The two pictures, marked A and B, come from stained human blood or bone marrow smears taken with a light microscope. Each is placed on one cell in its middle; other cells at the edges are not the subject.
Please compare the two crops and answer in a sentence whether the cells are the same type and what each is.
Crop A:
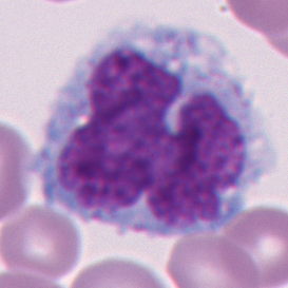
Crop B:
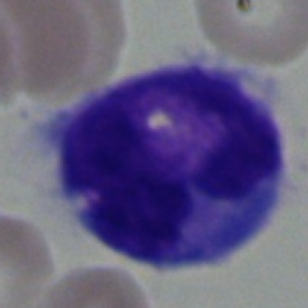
Yes, both crops show monocytes, and nothing else needs adding.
